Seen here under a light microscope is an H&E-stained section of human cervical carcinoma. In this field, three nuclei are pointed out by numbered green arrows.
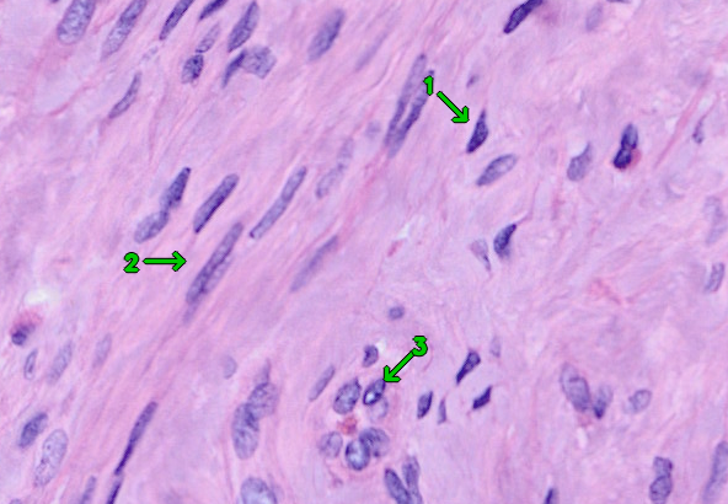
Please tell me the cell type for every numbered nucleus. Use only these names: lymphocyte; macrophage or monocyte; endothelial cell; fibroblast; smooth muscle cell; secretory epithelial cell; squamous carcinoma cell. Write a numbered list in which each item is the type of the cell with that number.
1. fibroblast
2. fibroblast
3. endothelial cell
